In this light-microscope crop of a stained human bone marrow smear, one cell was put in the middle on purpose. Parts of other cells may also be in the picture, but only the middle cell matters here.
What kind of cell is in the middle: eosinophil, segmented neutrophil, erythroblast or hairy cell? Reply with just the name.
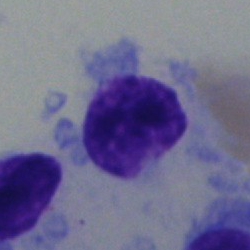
hairy cell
